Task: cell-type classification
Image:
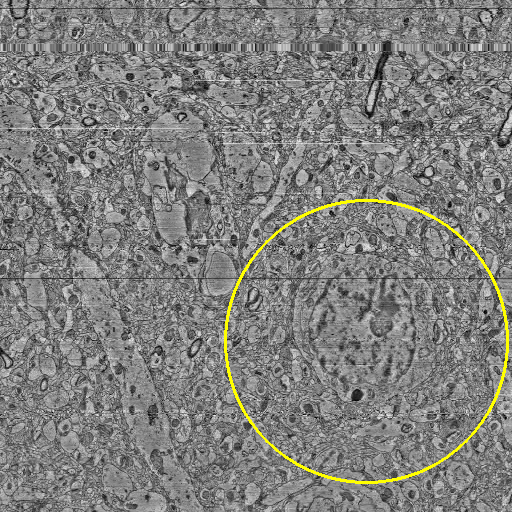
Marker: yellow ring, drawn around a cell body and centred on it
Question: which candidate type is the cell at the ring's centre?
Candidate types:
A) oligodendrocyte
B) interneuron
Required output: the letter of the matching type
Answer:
B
